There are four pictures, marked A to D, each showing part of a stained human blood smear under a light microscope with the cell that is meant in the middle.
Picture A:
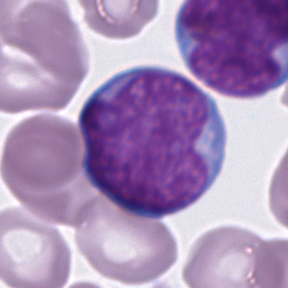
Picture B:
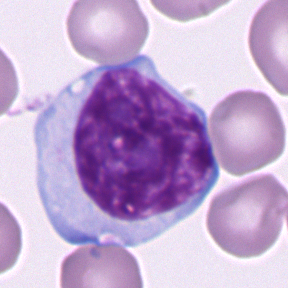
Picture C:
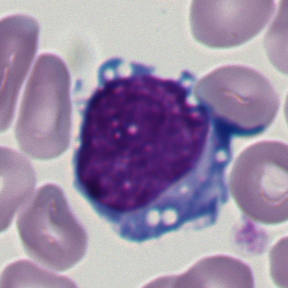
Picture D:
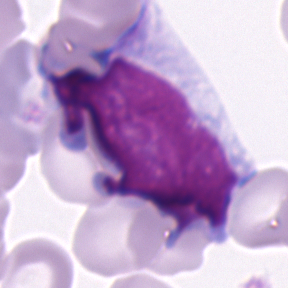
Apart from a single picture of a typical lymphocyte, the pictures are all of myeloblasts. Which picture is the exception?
D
